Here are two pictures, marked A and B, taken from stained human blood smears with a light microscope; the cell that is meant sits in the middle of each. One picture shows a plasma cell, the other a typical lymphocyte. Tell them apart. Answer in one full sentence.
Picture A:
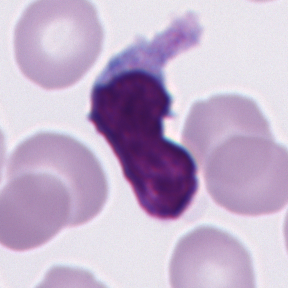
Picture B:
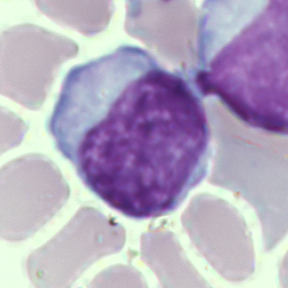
It is picture A that shows a typical lymphocyte, and picture B that shows a plasma cell.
